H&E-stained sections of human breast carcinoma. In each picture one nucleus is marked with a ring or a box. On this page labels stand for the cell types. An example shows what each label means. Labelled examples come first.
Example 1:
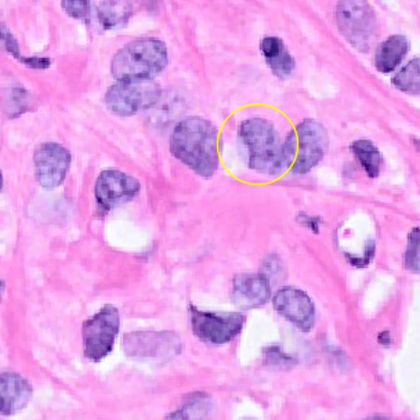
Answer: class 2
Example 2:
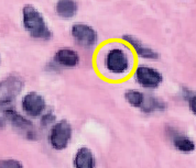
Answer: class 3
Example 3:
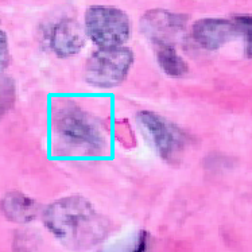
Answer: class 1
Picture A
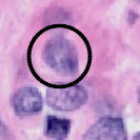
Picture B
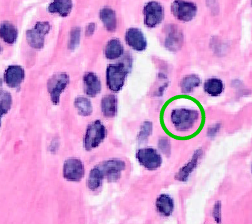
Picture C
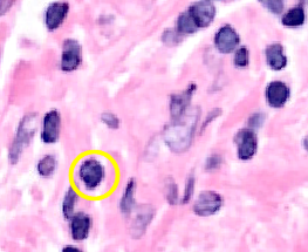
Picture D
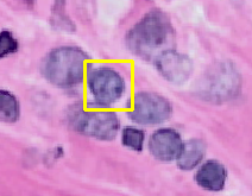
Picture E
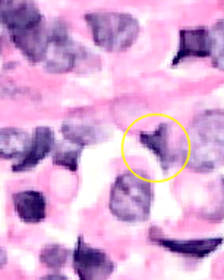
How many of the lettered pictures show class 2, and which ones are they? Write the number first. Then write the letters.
Count: 3 (A, D, E)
